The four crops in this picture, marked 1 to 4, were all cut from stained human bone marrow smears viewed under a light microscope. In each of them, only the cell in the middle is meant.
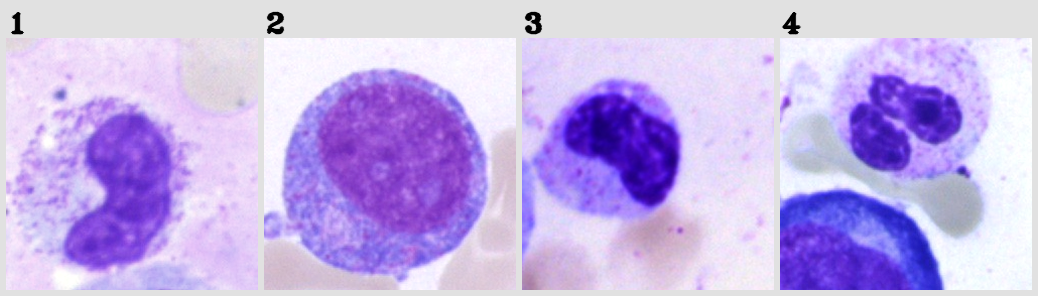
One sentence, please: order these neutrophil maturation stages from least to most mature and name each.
Counting from the least mature up to the most mature, the order is crop 2 (a promyelocyte), crop 3 (a metamyelocyte), crop 1 (a band neutrophil) and crop 4 (a segmented neutrophil).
